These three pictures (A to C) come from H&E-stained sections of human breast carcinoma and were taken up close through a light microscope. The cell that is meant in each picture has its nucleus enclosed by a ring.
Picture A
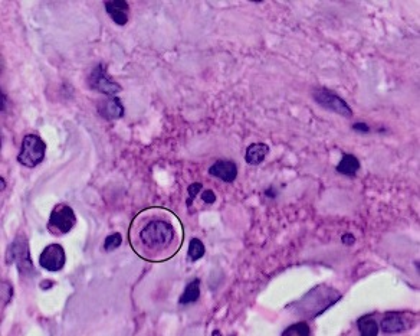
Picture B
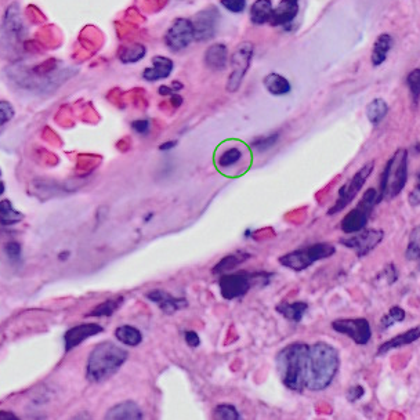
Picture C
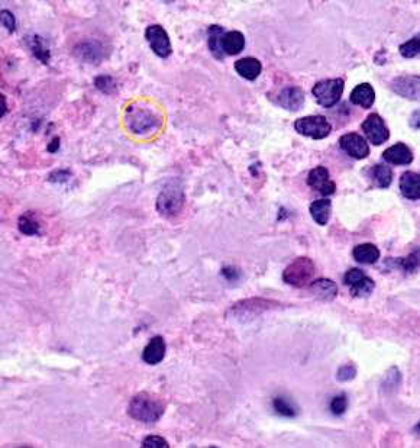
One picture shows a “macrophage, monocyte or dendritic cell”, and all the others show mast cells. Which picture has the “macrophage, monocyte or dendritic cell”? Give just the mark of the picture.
C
